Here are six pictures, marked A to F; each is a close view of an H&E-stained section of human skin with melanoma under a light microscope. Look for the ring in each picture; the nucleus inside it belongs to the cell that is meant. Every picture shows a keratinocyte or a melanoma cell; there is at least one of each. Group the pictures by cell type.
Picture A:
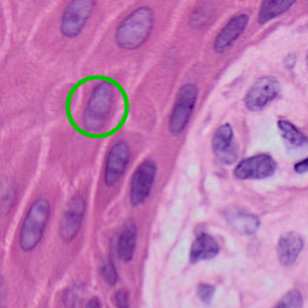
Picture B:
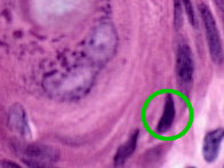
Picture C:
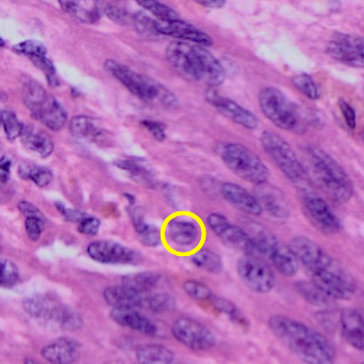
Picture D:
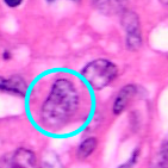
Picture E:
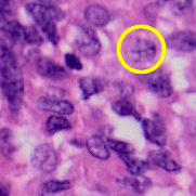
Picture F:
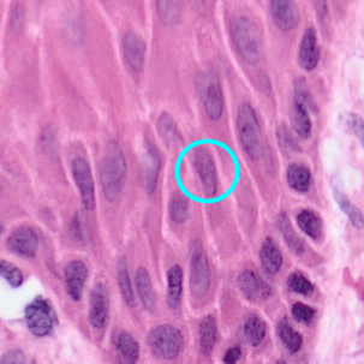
A: keratinocyte
B: keratinocyte
C: melanoma cell
D: melanoma cell
E: melanoma cell
F: keratinocyte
